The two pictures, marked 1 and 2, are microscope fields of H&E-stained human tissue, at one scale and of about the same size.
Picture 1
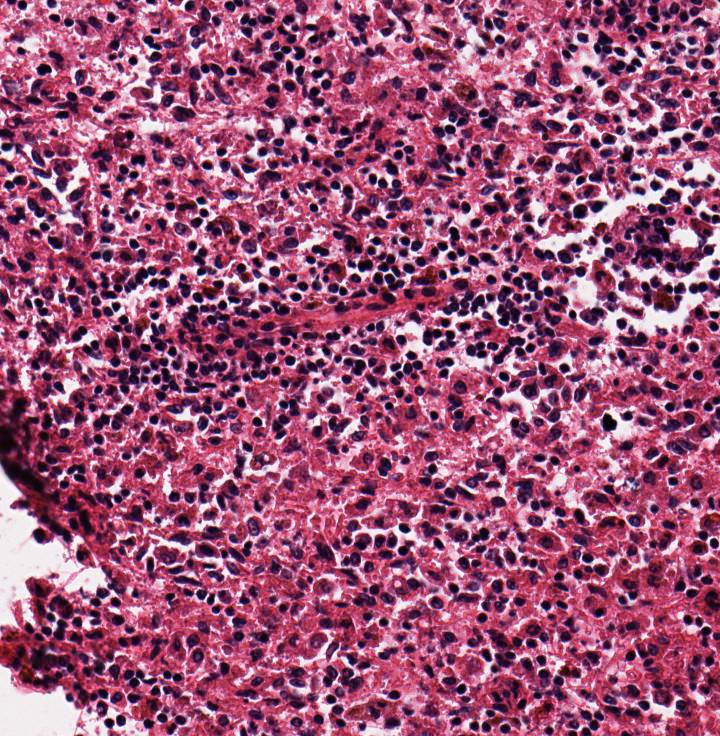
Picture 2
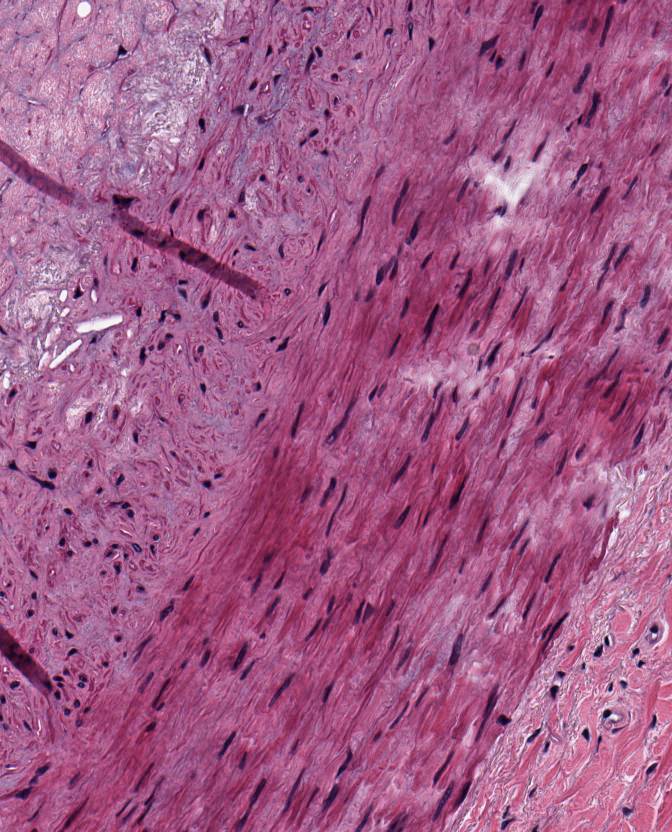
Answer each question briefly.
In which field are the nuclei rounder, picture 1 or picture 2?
1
